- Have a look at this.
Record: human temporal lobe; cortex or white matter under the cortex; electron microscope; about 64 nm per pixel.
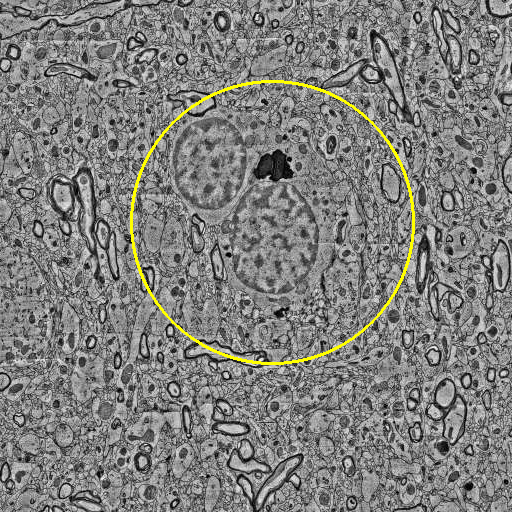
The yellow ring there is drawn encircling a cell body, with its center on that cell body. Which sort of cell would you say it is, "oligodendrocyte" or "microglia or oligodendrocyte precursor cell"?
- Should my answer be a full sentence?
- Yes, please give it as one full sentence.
For this picture, an oligodendrocyte is the cell where the yellow ring has its center.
